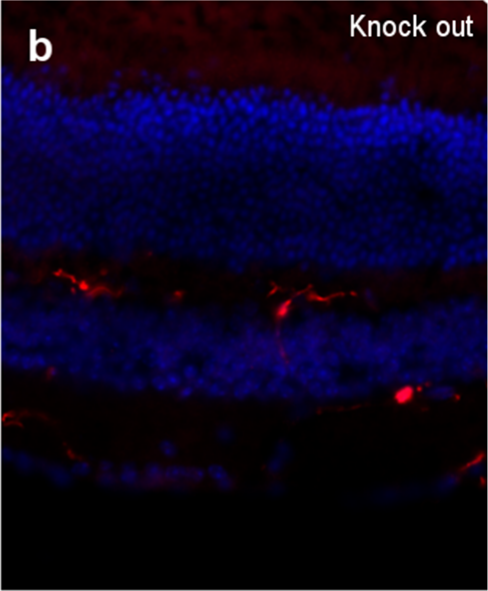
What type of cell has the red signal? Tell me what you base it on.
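Red cells have small bodies with thin branching processes. The red cells sit in the nucleus-poor bands between blue nuclear layers. The answer: microglia.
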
